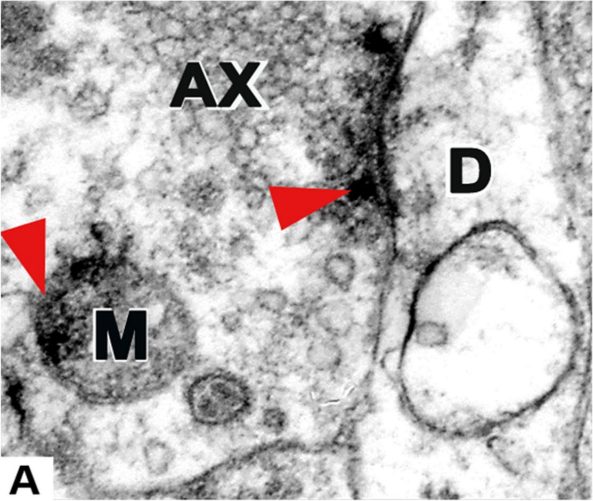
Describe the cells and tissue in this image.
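Dark, fluffy deposits gather at the membrane where the axon contacts the dendrite and along the edge of the mitochondrion. The dendrite to the right is pale, with sparse content and a large round membrane-bound vacuole, and carries no dark deposit.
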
